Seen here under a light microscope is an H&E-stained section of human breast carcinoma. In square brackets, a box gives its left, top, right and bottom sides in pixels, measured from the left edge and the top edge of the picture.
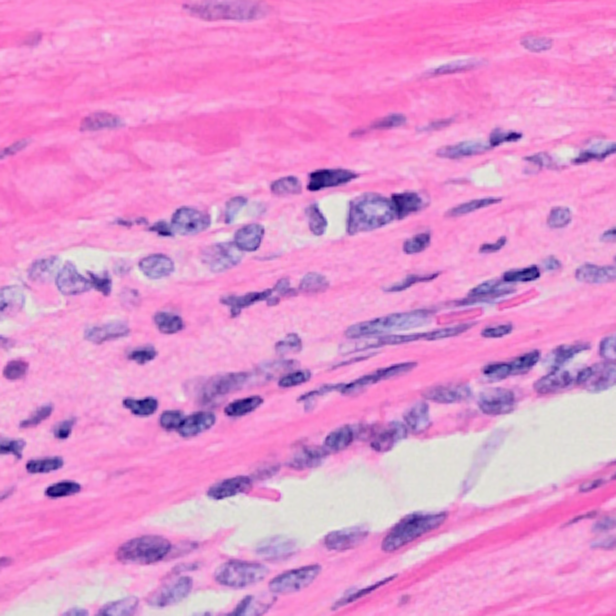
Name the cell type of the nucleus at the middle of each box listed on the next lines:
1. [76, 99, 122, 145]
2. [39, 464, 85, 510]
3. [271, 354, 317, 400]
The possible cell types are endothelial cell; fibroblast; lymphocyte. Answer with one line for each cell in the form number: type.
1: fibroblast
2: lymphocyte
3: endothelial cell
